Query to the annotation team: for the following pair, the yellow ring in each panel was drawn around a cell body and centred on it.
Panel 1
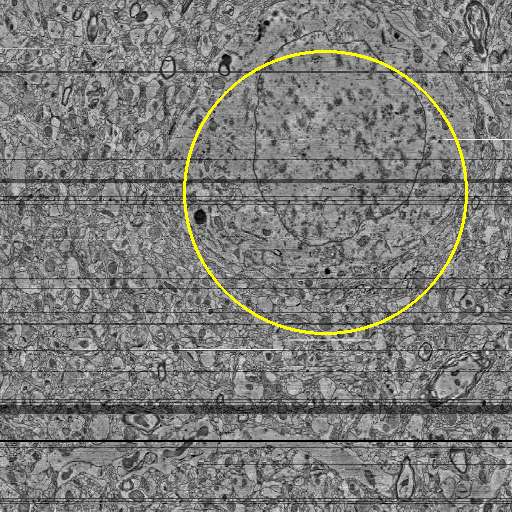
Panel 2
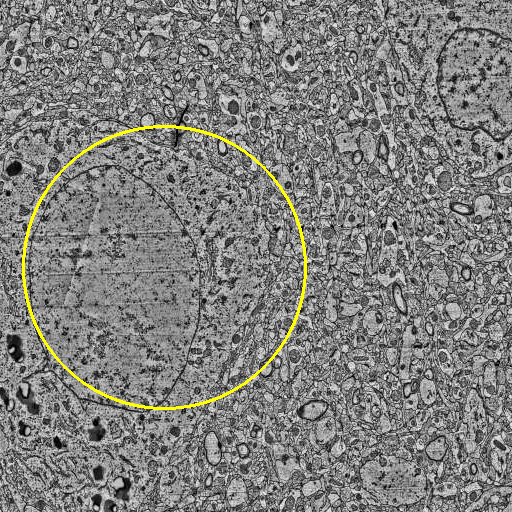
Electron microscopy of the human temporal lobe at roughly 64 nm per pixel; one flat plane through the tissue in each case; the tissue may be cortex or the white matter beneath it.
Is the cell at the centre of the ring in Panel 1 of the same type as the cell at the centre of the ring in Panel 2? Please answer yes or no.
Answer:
yes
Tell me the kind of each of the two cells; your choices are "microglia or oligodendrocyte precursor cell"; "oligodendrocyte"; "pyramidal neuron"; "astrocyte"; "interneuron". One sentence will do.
Both cells are the same kind, each one being a pyramidal neuron.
